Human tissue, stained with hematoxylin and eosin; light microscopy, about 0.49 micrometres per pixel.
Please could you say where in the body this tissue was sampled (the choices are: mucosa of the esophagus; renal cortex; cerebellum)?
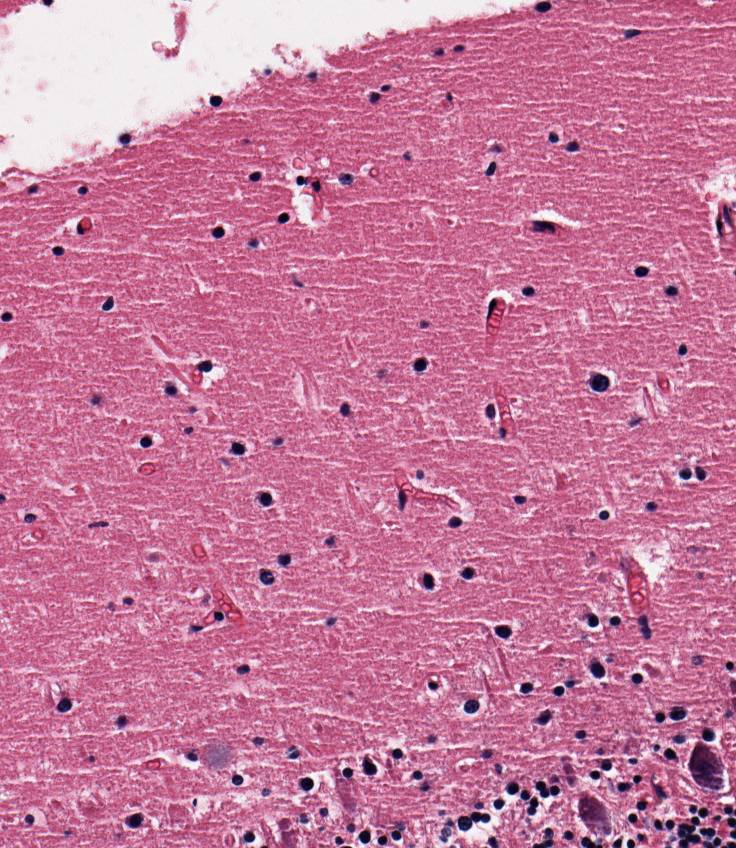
cerebellum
